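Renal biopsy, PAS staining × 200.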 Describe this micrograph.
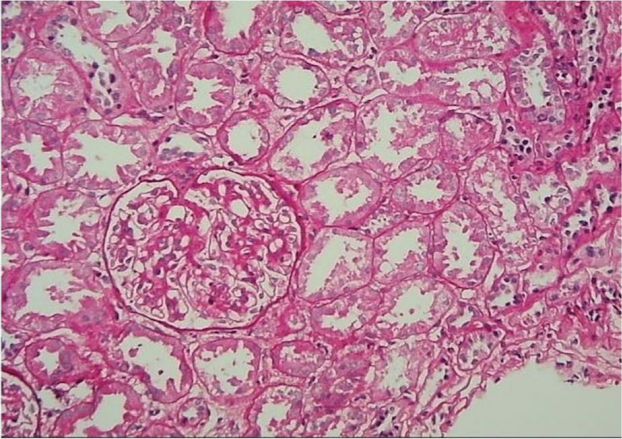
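This is kidney cortex with one glomerulus among many tubules, stained with magenta-outlined basement membranes. The glomerulus, left of centre, is a round tuft of capillary loops inside a thin magenta capsule. Within the tuft, magenta strands and purple nuclei lie between open capillary spaces. The surrounding tubules are cut in cross-section, with thin magenta basement membranes, pale cytoplasm and irregular open lumens. Clusters of purple nuclei lie in the tissue at the right edge.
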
